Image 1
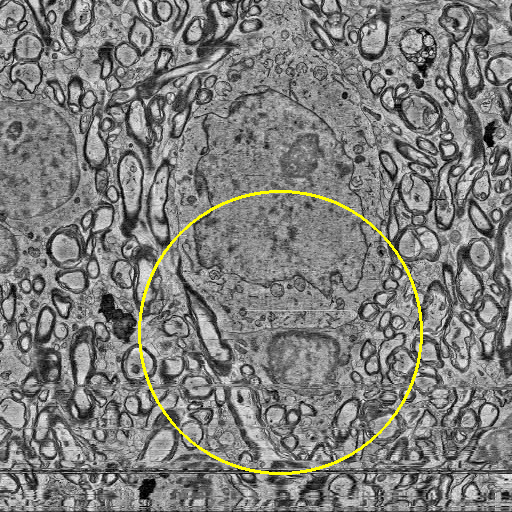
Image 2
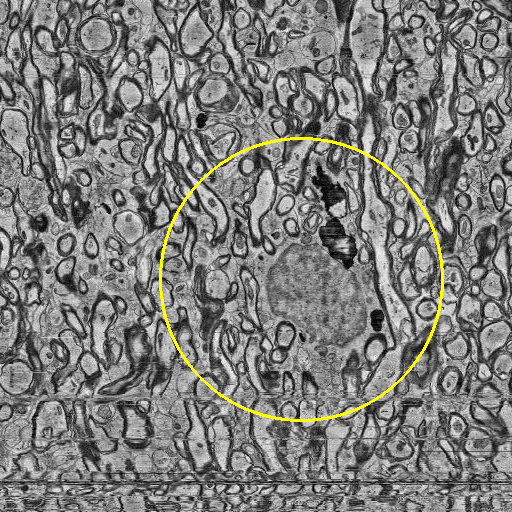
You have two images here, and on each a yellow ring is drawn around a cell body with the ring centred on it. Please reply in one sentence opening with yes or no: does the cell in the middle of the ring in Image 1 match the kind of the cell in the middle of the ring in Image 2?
Yes, the two images show cells of one kind at the centres of their rings.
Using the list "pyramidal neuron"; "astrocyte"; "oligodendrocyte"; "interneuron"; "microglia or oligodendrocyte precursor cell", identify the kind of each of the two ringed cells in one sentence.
Each one of the two ringed cells is an oligodendrocyte.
